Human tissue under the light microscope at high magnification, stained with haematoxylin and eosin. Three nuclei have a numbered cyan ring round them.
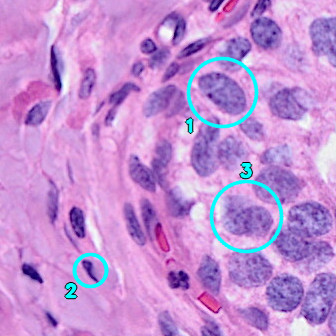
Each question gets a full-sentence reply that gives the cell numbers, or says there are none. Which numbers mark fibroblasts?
The cell labelled 2 is a fibroblast, while the remaining numbered cells are not.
